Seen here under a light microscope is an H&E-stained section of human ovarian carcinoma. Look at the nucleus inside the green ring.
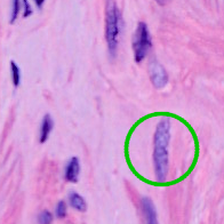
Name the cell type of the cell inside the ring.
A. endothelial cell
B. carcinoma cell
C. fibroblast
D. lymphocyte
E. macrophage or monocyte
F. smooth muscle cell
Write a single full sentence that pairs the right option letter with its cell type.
Option F names the cell inside the ring correctly as a smooth muscle cell.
